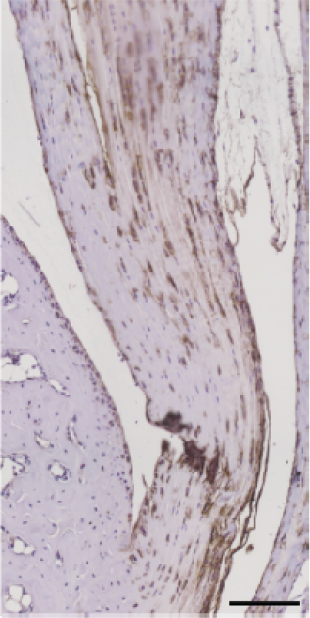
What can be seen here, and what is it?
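Longitudinal section of tendon at its insertion. The tendon body is a dense band of parallel collagen fibres, pale purple, with elongated spindle-shaped nuclei lined up in rows between the fibres. Many nuclei are brown, others blue-purple. At the lower left the tendon meets a bone-like tissue with scattered small cells in lacunae and a few marrow spaces. Near the junction a dense cluster of dark brown stain lies where the tendon bends. Loose, wavy paratenon-like tissue lies to the upper right of the band.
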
